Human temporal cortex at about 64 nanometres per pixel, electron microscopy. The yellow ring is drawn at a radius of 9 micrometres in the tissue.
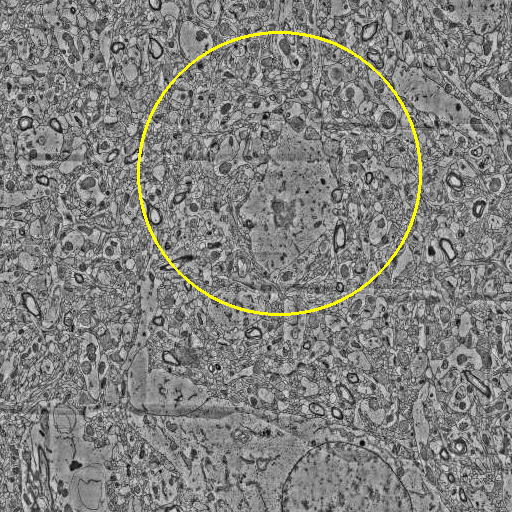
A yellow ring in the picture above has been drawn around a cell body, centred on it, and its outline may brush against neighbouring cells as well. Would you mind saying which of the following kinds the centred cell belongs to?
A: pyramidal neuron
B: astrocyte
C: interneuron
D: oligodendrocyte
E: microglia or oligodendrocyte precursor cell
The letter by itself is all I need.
E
